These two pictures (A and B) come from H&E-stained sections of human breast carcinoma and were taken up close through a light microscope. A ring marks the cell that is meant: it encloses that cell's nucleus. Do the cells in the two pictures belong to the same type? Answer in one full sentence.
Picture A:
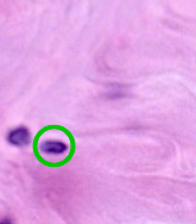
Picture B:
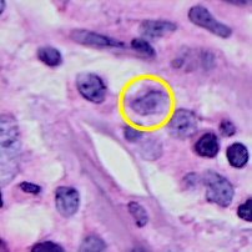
No, they differ: the cell is a lymphocyte in picture A and a “macrophage, monocyte or dendritic cell” in picture B.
